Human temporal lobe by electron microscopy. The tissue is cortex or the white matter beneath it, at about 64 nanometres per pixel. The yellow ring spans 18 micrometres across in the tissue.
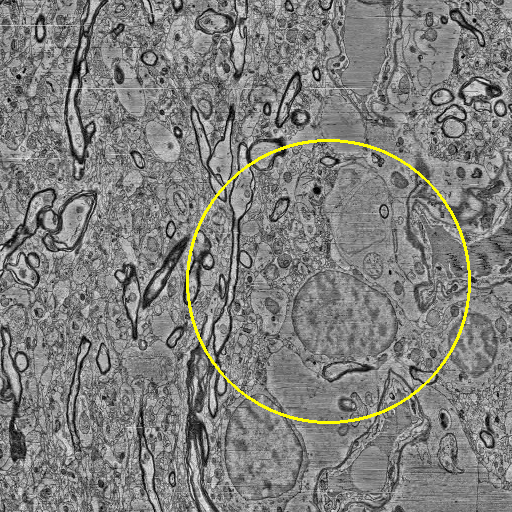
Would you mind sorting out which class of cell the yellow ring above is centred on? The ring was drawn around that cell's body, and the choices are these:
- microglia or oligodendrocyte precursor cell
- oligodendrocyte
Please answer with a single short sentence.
This is the cell body of an oligodendrocyte.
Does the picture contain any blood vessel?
Yes, the picture includes a blood vessel.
